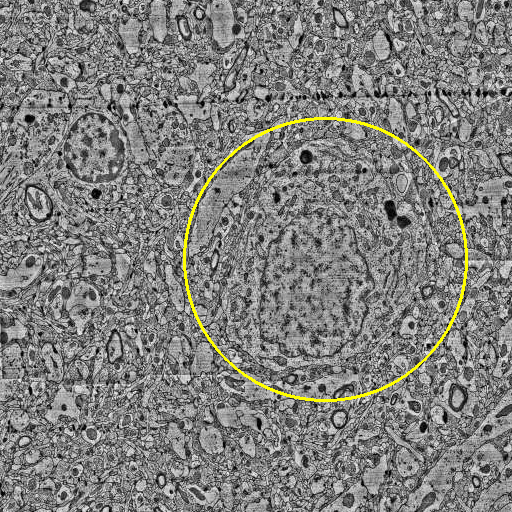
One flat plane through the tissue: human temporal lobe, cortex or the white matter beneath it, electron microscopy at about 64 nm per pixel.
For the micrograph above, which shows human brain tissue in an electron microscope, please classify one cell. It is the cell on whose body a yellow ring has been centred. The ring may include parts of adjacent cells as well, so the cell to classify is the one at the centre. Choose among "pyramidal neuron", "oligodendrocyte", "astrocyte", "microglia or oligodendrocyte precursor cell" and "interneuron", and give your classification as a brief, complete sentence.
I classify this cell as an interneuron.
